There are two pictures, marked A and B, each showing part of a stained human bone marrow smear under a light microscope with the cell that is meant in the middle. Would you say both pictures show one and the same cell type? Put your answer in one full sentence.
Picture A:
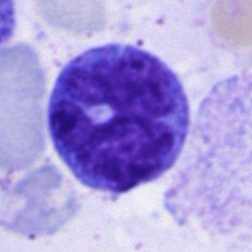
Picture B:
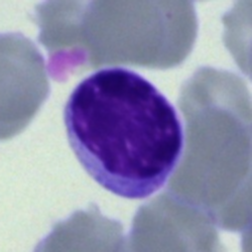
No. Picture A shows a monocyte, but picture B shows a lymphocyte.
